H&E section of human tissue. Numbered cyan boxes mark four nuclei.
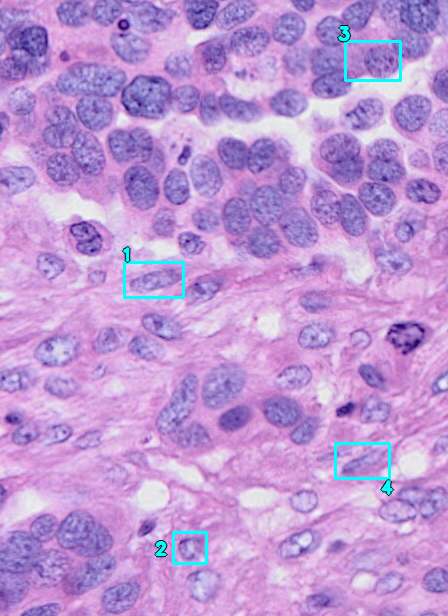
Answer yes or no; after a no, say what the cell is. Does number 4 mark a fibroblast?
Yes.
